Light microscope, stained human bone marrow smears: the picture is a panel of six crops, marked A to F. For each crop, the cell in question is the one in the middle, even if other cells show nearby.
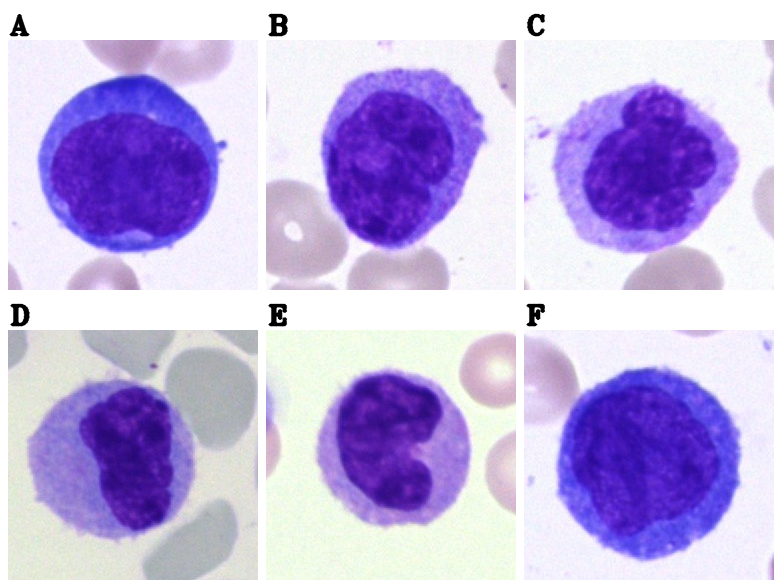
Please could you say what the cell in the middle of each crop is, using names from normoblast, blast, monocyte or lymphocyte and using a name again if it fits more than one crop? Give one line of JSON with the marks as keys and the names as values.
{"A": "blast", "B": "monocyte", "C": "monocyte", "D": "monocyte", "E": "monocyte", "F": "blast"}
